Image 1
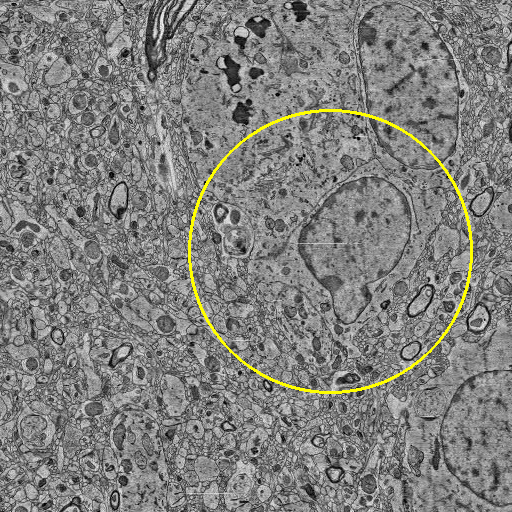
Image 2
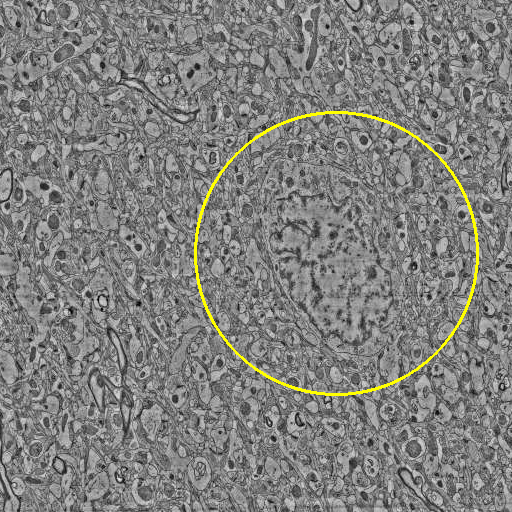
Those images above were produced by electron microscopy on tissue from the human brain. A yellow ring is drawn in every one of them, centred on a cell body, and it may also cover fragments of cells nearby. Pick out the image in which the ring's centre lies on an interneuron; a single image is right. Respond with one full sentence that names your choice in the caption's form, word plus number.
Image 2 is my choice: its ring is centred on the requested cell.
